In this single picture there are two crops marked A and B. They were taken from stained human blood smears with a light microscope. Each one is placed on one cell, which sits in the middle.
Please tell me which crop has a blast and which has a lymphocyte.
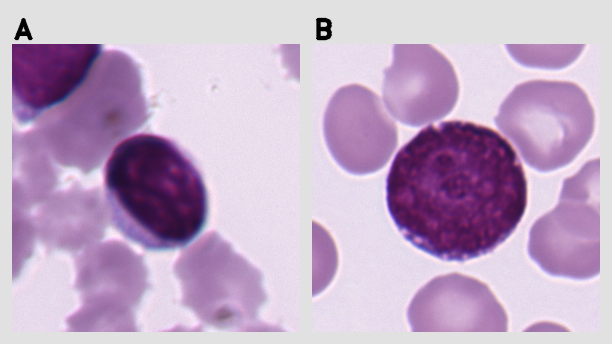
A: lymphocyte
B: blast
